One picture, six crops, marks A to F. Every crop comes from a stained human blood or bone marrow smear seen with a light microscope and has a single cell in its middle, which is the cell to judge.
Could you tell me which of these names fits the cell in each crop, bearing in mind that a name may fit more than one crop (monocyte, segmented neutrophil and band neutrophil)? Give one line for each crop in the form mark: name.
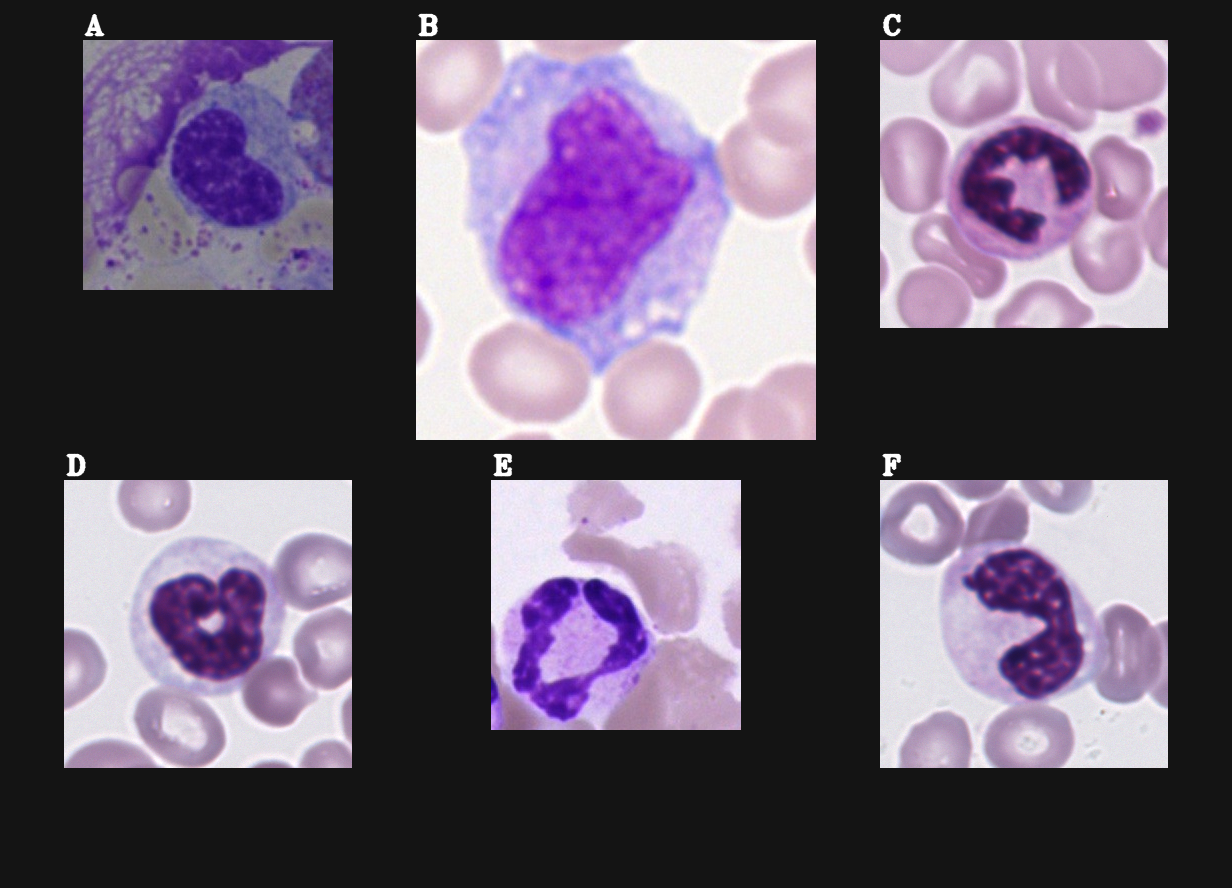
A: band neutrophil
B: monocyte
C: segmented neutrophil
D: band neutrophil
E: segmented neutrophil
F: band neutrophil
